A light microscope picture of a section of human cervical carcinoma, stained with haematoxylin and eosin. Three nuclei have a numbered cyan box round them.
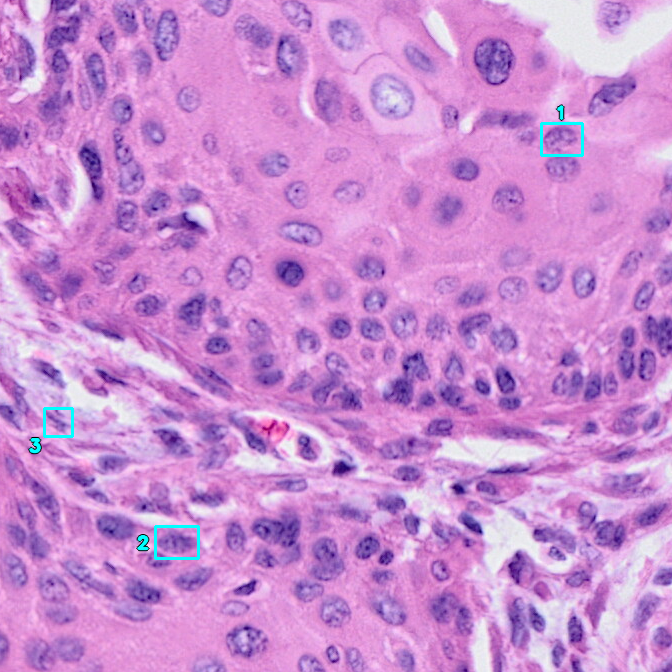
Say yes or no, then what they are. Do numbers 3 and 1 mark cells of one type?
No, cell 3 is a fibroblast and cell 1 is a squamous carcinoma cell.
